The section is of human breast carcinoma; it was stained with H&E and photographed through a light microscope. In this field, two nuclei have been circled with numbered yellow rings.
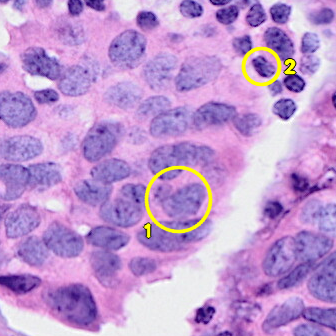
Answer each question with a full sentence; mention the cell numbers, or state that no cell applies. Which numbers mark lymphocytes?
Only the cell numbered 2 is a lymphocyte; none of the others is.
